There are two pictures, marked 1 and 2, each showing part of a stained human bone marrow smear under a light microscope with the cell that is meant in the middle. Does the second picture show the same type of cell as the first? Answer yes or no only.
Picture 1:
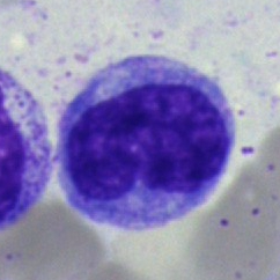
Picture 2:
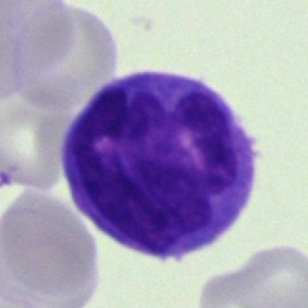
yes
